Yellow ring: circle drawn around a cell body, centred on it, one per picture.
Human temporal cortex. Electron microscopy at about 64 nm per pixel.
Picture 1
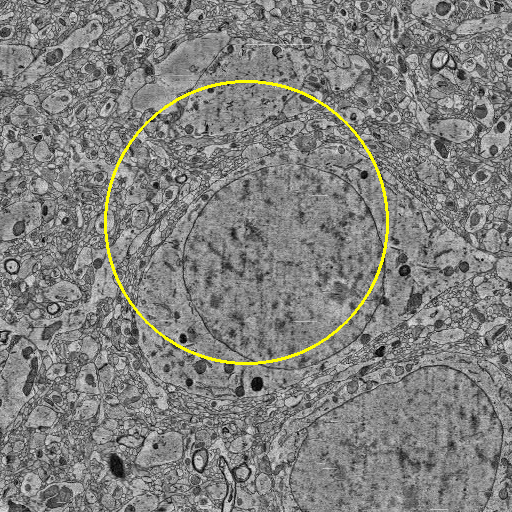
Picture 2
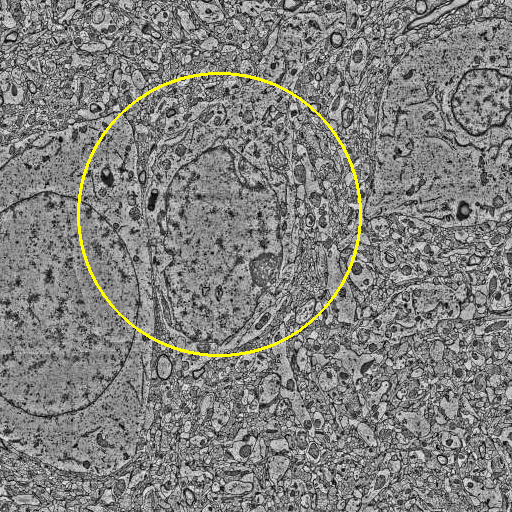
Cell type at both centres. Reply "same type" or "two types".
two types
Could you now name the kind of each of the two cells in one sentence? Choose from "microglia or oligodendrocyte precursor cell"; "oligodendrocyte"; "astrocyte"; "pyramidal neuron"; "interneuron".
The first ring encloses a pyramidal neuron; the second ring encloses an interneuron.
